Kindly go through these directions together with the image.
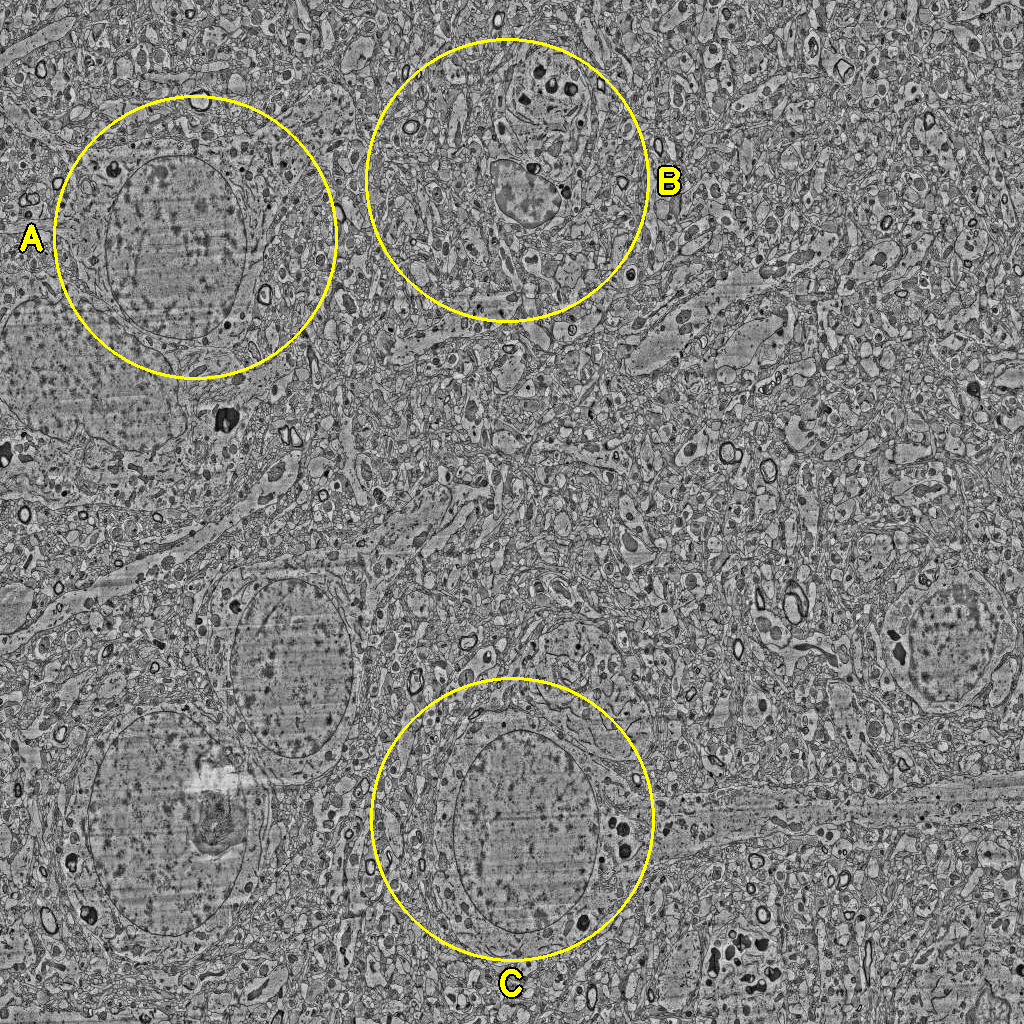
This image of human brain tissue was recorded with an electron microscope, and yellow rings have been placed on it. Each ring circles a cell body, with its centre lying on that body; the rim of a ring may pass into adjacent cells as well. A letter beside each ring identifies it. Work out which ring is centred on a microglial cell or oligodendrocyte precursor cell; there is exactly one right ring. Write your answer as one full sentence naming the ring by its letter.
Ring B is the one whose centre lies on a cell of that kind.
